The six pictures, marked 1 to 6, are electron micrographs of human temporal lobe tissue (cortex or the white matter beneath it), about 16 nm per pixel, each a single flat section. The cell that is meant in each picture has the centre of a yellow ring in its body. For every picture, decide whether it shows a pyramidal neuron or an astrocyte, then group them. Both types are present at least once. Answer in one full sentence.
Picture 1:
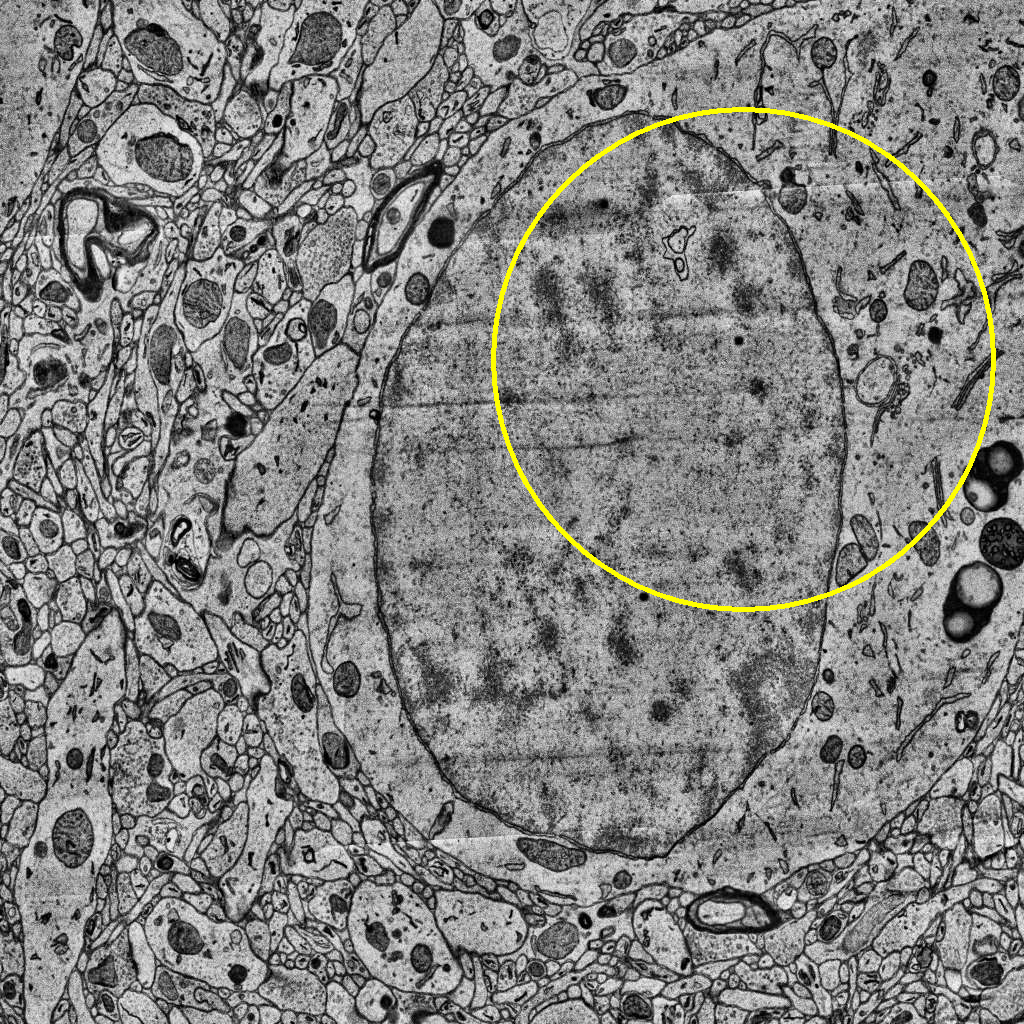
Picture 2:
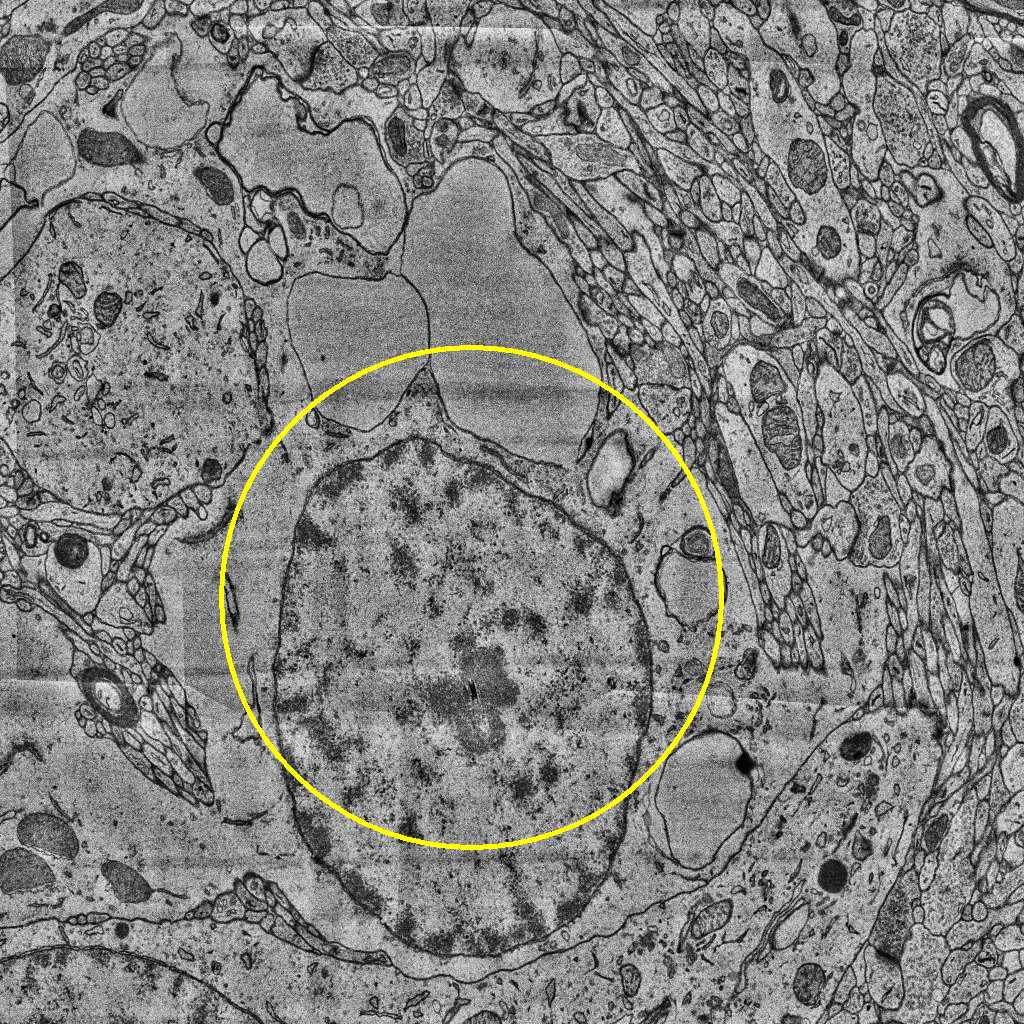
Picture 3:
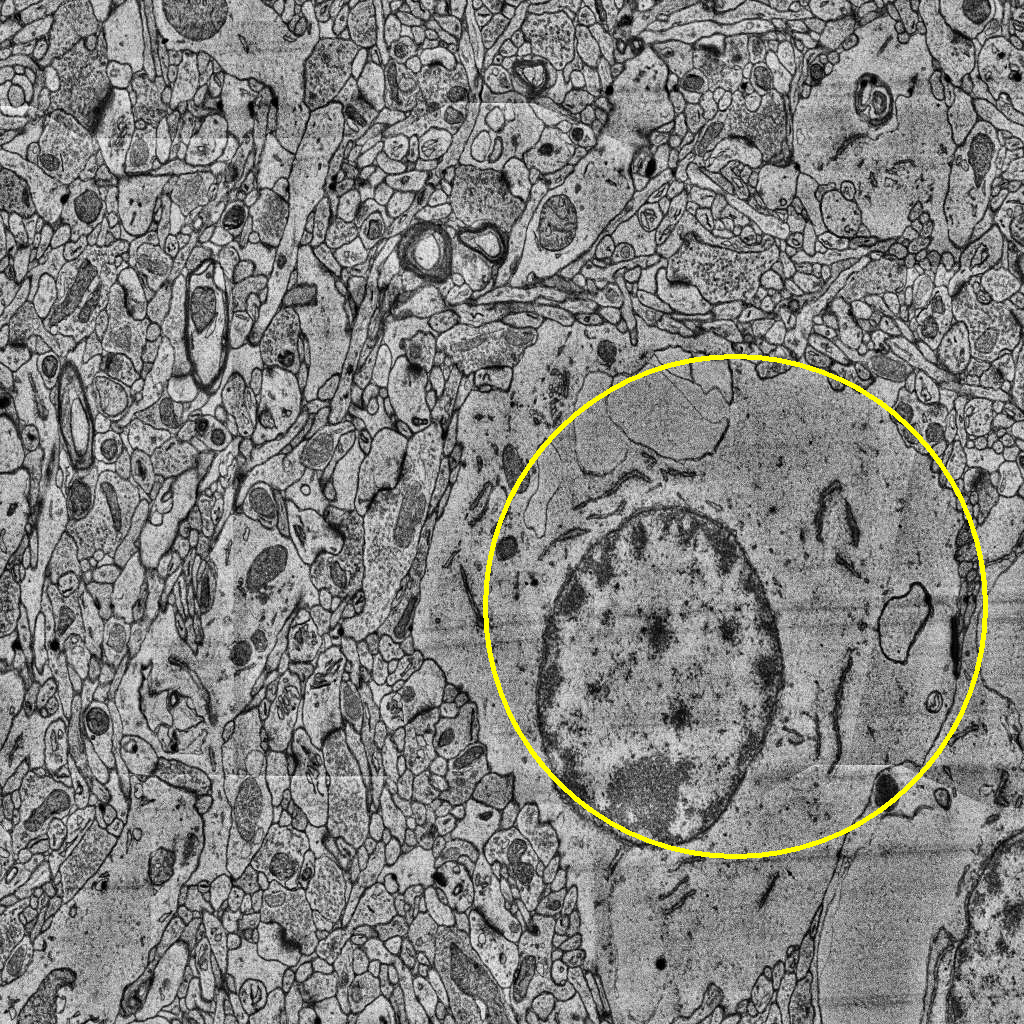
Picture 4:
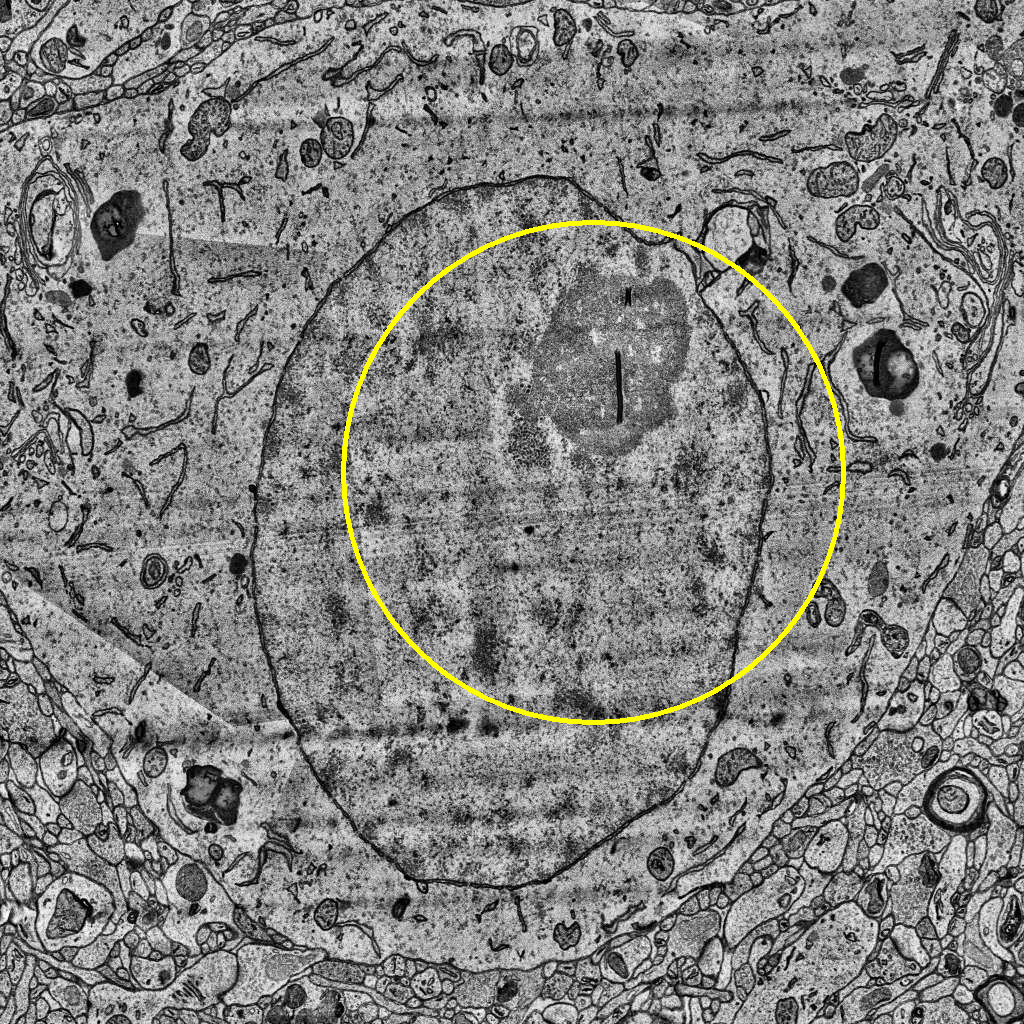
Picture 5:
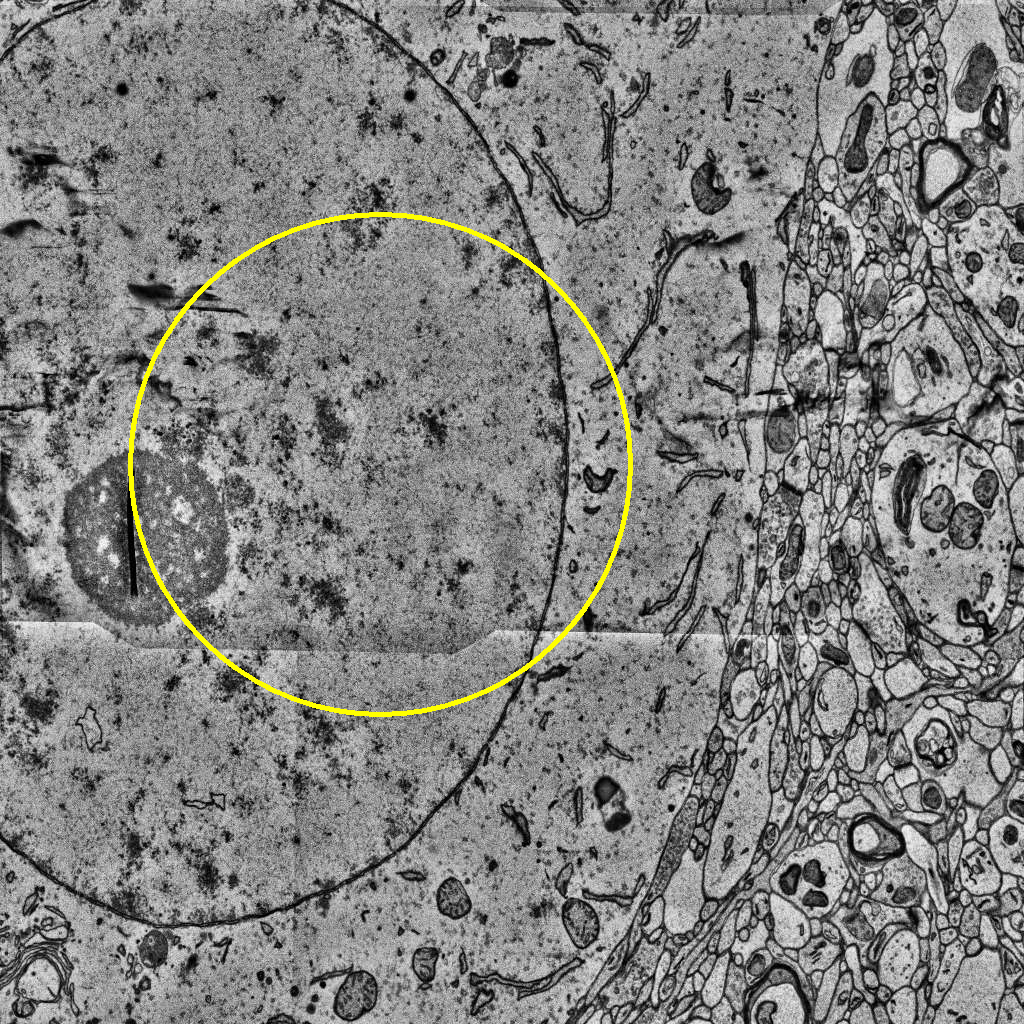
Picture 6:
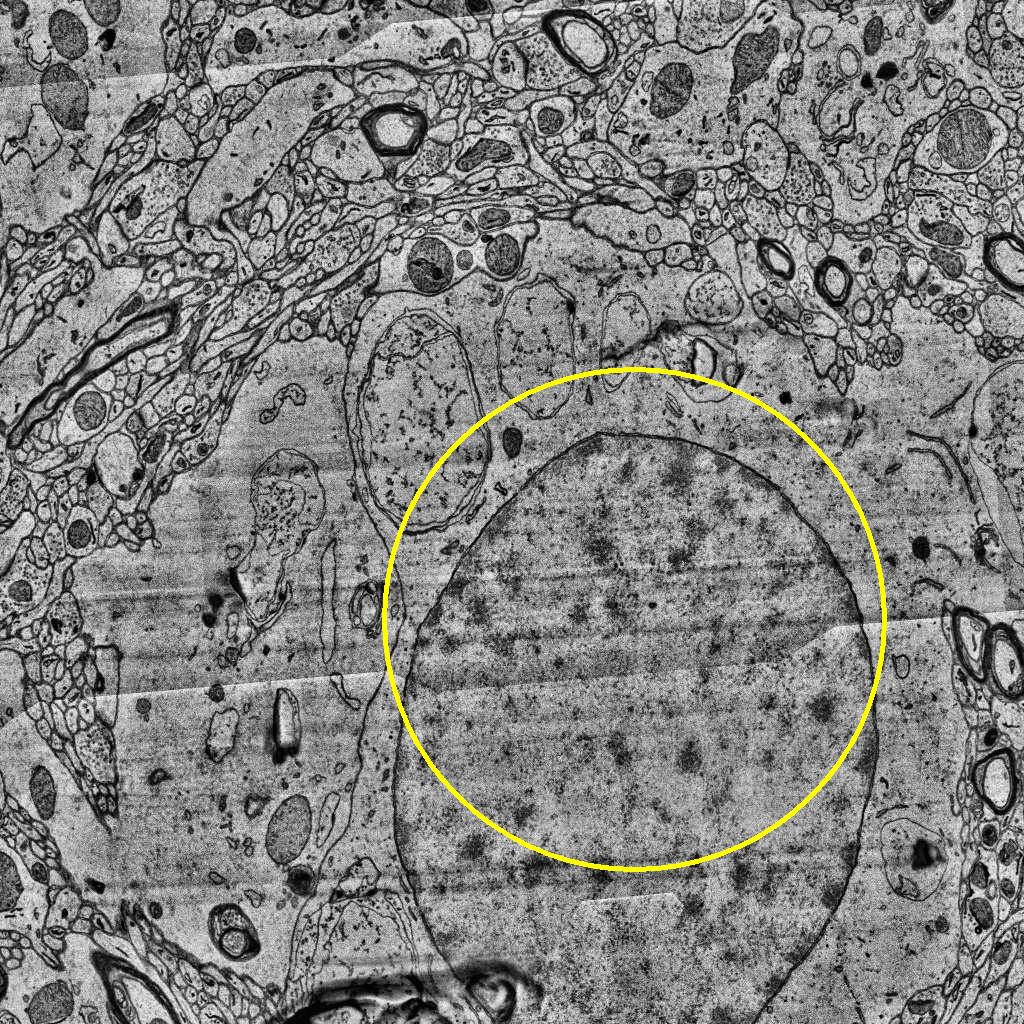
Pictures 1, 4 and 5 show pyramidal neurons, and pictures 2, 3 and 6 show astrocytes.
